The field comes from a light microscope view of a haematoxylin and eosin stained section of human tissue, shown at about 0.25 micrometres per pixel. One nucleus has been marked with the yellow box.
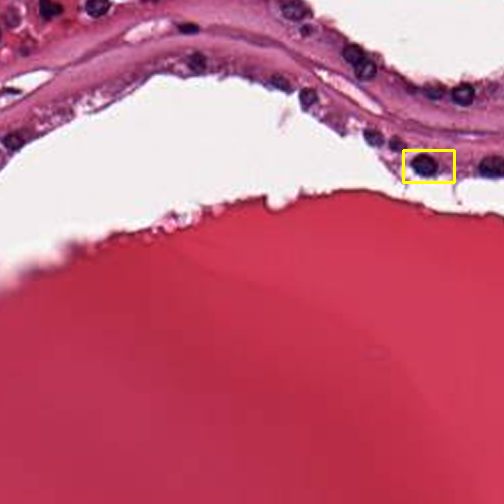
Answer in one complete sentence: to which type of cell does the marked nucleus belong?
In this picture it is a thyroid follicular cell whose nucleus is marked.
